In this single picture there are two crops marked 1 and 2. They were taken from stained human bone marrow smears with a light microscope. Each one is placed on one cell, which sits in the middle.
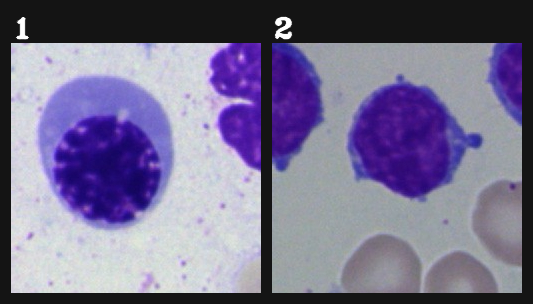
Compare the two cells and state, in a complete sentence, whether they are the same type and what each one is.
No; crop 1 is a normoblast, while crop 2 is a lymphocyte.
